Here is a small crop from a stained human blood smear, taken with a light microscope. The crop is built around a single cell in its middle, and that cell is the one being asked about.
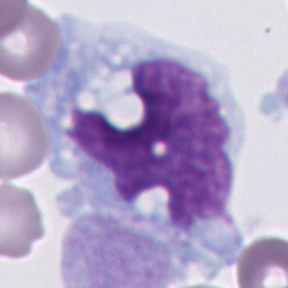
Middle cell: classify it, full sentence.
Of the cells in this crop, the central one is a monocyte.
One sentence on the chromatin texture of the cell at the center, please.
The key point is fine chromatin with no coarse clumps.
